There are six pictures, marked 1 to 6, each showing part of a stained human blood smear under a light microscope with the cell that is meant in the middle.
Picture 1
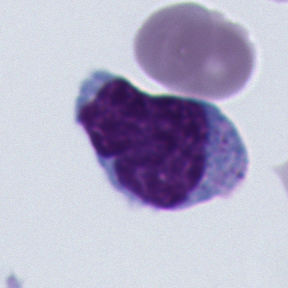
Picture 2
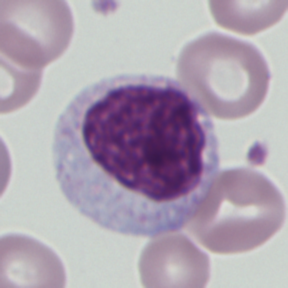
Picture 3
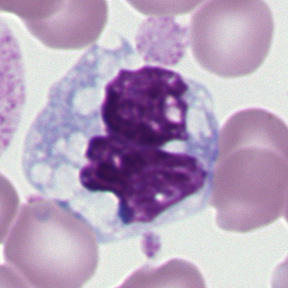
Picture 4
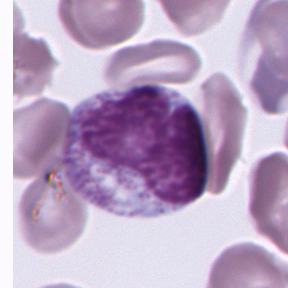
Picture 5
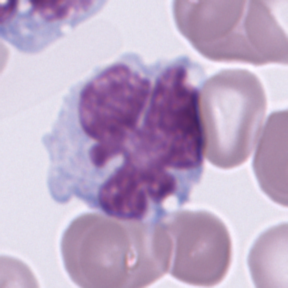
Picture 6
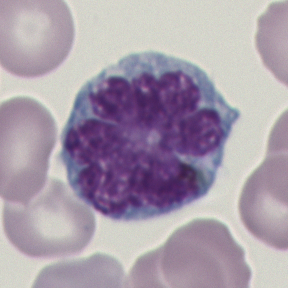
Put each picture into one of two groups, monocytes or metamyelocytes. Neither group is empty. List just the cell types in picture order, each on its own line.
monocyte
metamyelocyte
monocyte
metamyelocyte
monocyte
monocyte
